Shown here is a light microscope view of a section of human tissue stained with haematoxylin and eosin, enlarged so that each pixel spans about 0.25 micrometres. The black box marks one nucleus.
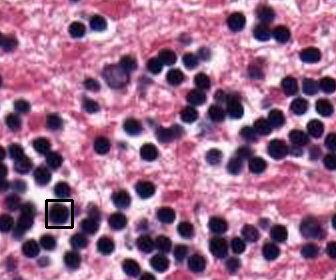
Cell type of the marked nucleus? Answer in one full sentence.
The nucleus with the mark belongs to a cerebellar granule cell.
